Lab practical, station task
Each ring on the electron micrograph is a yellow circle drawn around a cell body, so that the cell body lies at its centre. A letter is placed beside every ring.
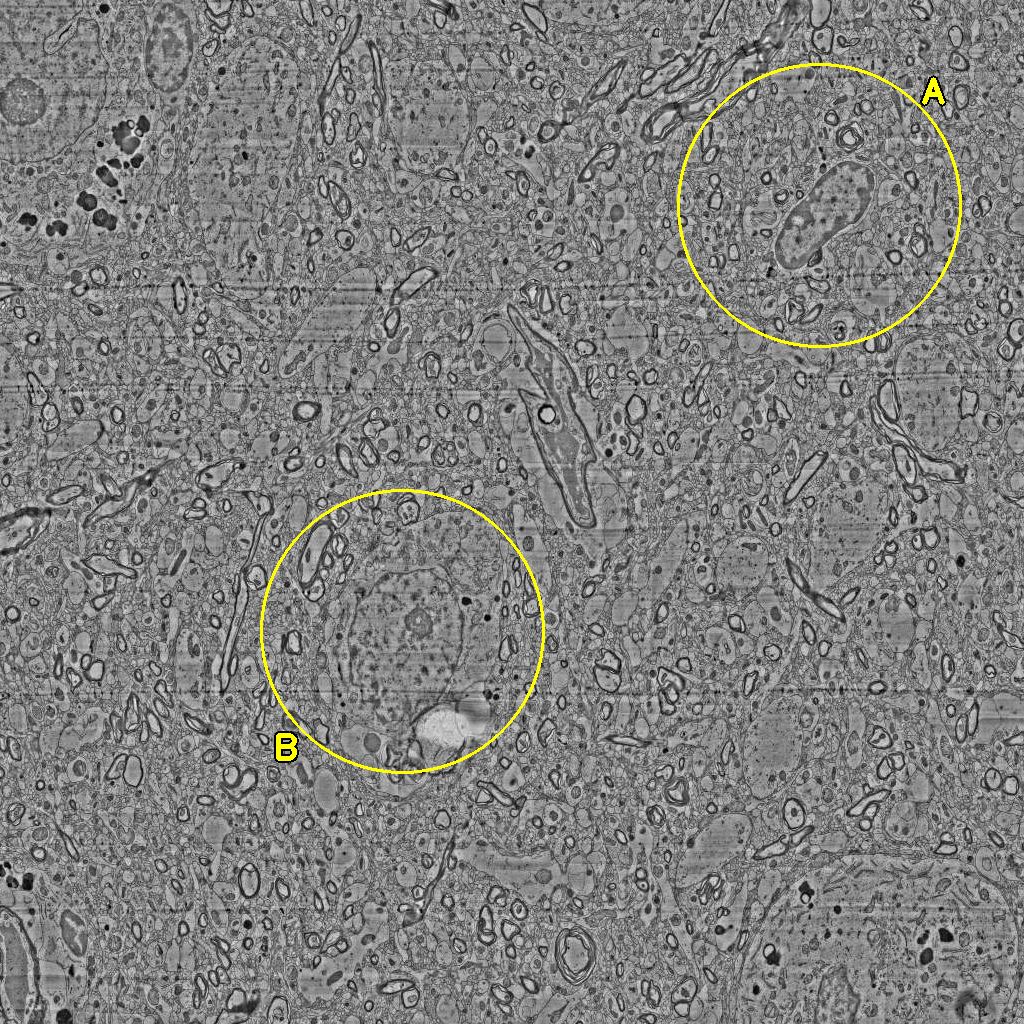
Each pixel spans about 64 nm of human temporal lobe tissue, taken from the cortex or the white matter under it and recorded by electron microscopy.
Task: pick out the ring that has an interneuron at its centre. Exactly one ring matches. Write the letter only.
B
